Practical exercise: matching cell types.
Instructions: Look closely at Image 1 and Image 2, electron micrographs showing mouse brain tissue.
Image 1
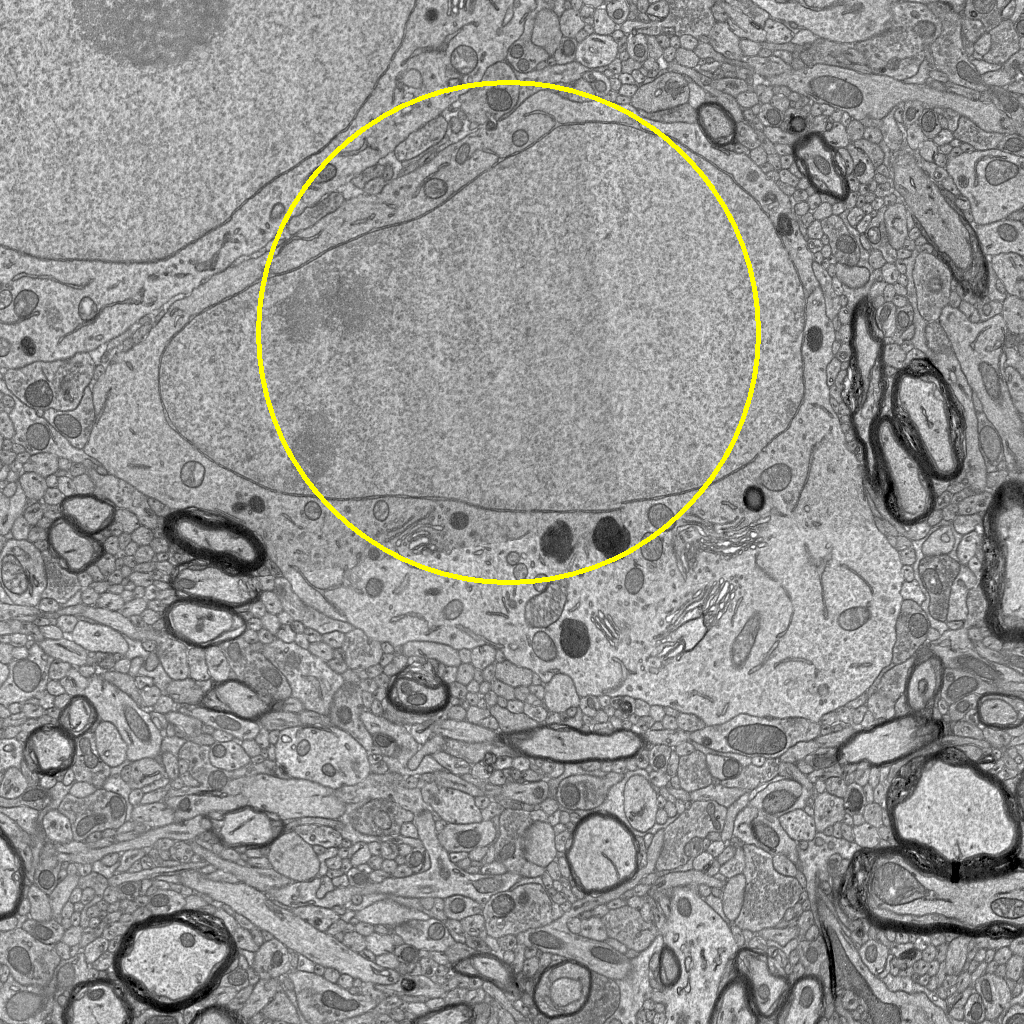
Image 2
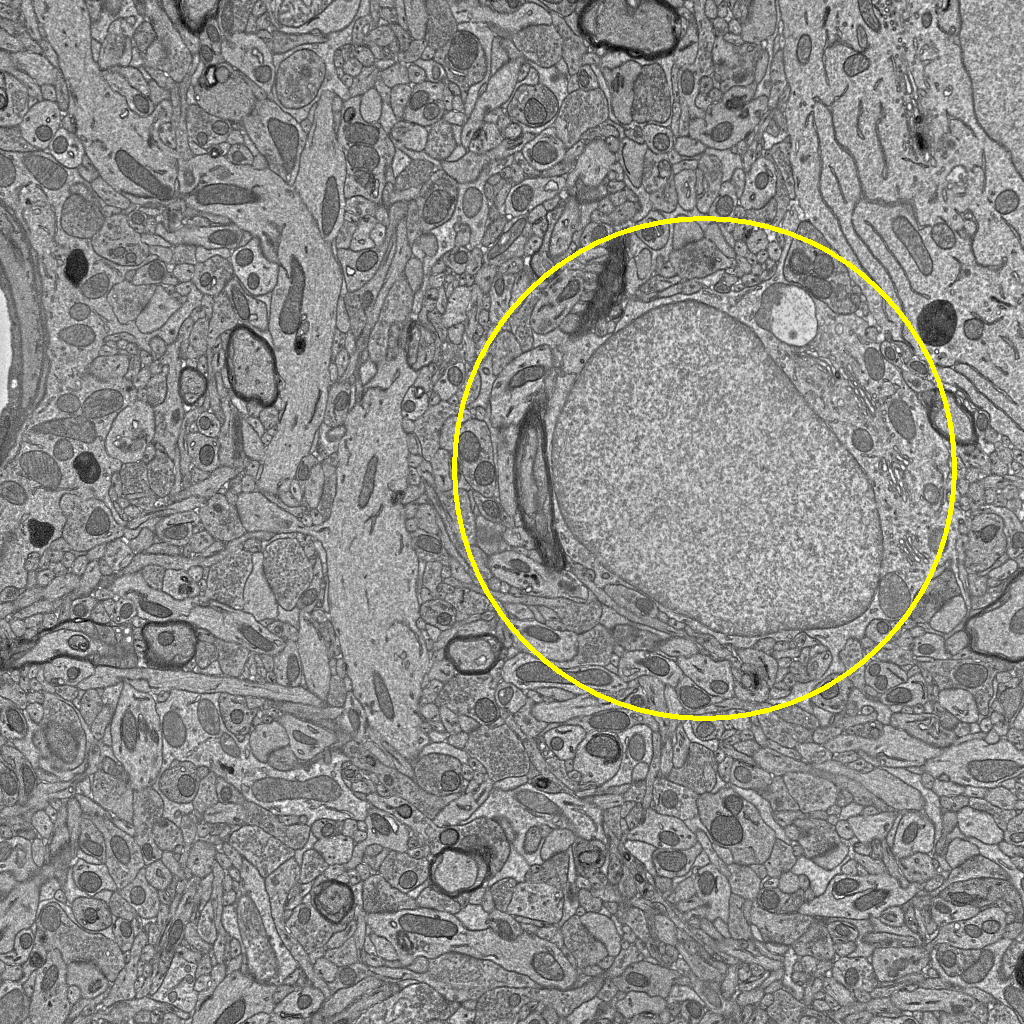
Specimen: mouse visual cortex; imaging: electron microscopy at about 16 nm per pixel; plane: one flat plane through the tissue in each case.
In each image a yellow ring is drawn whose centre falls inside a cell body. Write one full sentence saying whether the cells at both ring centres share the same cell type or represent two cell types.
Across Image 1 and Image 2, the cells at the ring centres represent two cell types.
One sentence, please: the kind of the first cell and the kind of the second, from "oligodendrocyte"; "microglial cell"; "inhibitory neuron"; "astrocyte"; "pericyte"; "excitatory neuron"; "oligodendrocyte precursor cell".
So the first is an excitatory neuron, the second an astrocyte.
